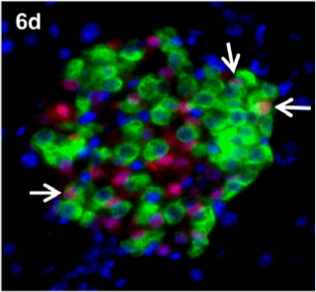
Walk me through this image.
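A pancreatic islet appears as a rounded cluster of tightly packed cells. Cells with green cytoplasm occupy much of the islet, both at its edge and toward its centre, and are densest on the right side. Red nuclei are present among the cells in the central part of the cluster. White arrows point to green cells at the edge of the islet that also have reddish nuclei. Blue nuclei are visible throughout.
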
